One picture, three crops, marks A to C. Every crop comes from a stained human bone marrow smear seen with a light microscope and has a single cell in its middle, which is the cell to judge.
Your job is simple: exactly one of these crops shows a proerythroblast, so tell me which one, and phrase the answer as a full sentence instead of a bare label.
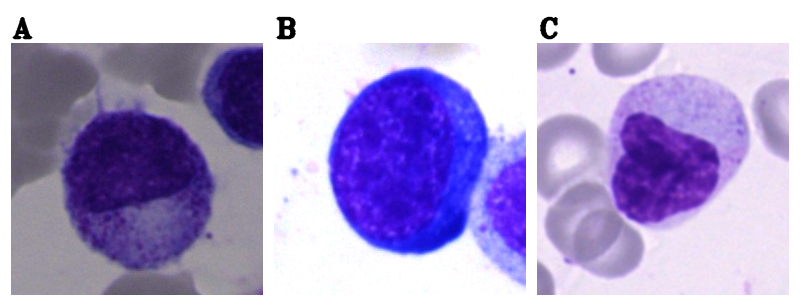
It is crop B that shows a proerythroblast.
